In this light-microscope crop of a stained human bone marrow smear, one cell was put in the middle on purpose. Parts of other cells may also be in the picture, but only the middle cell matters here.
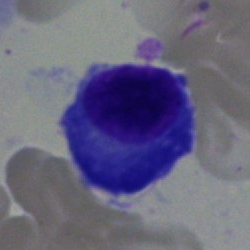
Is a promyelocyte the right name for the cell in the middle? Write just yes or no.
no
